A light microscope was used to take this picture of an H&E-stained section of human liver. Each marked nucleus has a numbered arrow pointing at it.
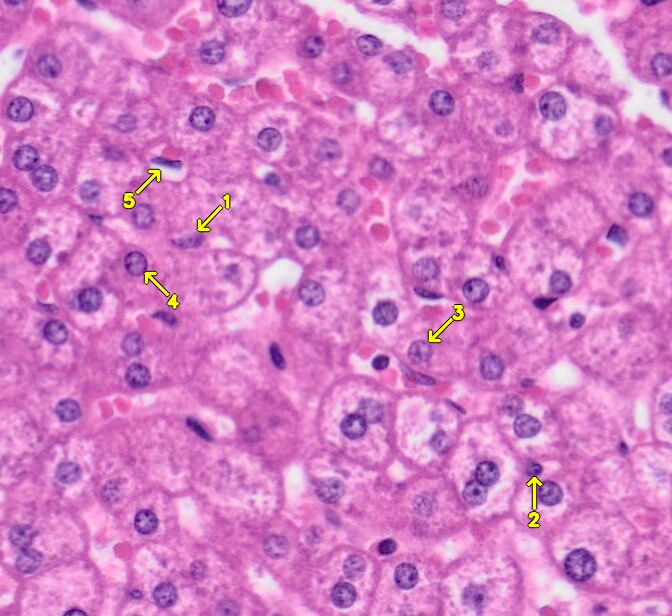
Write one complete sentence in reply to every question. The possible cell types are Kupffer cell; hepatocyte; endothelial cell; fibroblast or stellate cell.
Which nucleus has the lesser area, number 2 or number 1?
Nucleus 2 is the smaller one; nucleus 1 covers about 2.5 times its area.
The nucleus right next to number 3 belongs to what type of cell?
Closest to number 3 lies the nucleus of a Kupffer cell.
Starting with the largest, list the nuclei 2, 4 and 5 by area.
By area, largest first, they run 4, 5, 2.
